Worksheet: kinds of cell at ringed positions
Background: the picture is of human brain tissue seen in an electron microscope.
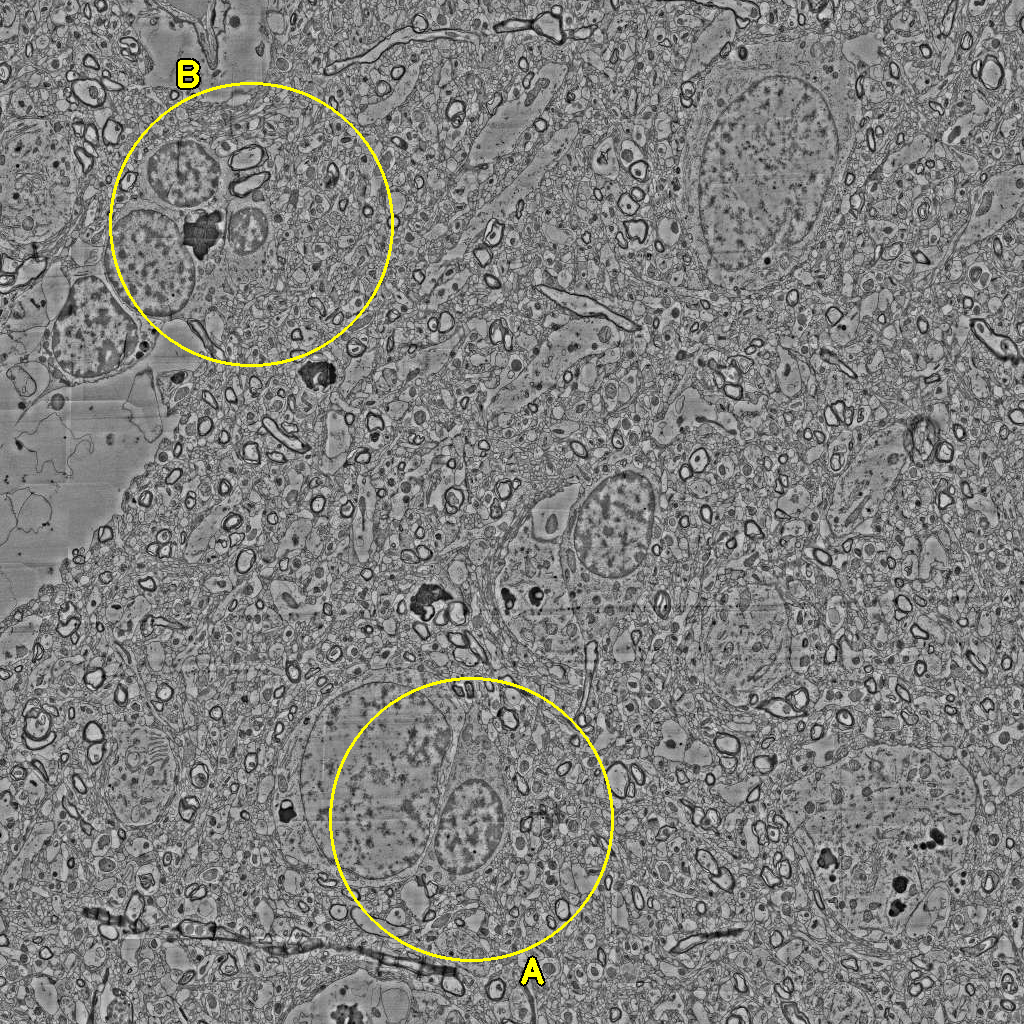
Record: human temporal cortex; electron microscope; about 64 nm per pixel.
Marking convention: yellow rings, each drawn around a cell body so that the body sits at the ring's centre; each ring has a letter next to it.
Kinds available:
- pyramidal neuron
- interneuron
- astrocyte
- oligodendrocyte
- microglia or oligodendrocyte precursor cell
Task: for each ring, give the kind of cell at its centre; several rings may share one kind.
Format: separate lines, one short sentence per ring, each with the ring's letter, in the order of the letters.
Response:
Ring A is drawn around an oligodendrocyte.
Ring B is drawn around an oligodendrocyte.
